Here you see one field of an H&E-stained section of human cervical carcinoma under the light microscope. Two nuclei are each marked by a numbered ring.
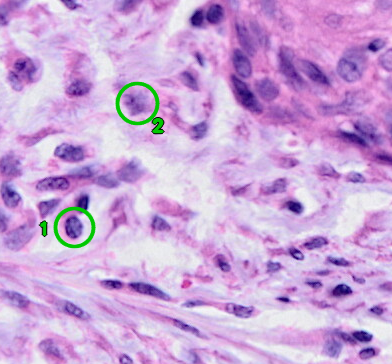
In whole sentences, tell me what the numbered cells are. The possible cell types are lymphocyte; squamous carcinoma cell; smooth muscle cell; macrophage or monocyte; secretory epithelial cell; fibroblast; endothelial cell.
Cell 1 is a lymphocyte. Cell 2 is a fibroblast.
